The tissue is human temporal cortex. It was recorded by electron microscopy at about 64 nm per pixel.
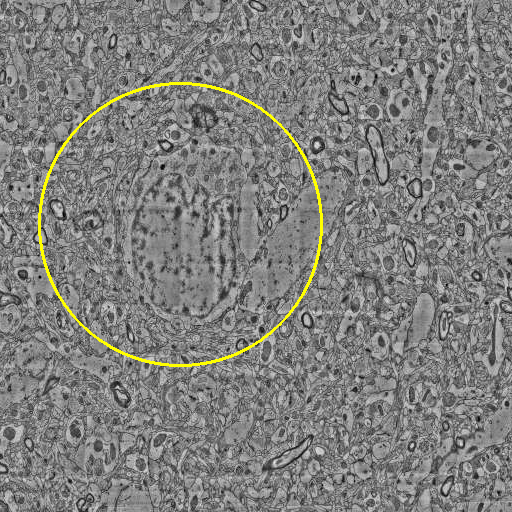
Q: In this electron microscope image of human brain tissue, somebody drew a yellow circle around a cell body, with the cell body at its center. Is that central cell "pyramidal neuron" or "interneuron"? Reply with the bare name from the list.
interneuron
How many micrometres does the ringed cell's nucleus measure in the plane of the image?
In this plane the nucleus spans approximately 9 by 6 micrometers.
